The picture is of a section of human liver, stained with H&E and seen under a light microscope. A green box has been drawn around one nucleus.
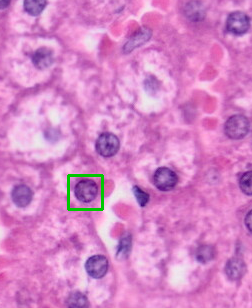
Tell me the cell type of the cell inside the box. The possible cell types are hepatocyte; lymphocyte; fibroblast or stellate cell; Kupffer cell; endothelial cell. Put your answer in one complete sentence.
The identity of the cell inside the box is that of a hepatocyte.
